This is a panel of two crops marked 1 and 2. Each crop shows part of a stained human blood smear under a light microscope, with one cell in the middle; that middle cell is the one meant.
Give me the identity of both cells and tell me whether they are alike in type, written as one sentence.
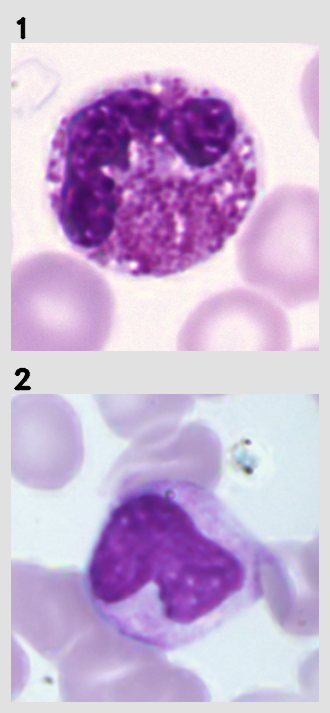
No, crop 1 captures an eosinophil, and crop 2 captures a band neutrophil.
